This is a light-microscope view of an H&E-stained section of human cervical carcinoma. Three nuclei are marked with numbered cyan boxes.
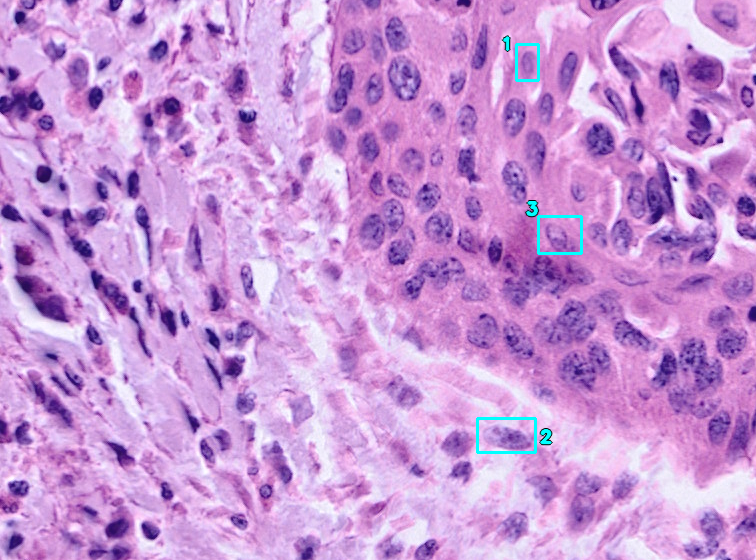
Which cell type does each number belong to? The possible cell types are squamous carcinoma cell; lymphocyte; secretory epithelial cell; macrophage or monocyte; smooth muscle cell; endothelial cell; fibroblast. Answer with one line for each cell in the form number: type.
1: squamous carcinoma cell
2: fibroblast
3: squamous carcinoma cell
